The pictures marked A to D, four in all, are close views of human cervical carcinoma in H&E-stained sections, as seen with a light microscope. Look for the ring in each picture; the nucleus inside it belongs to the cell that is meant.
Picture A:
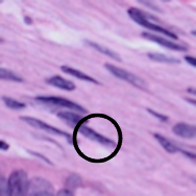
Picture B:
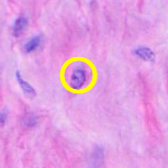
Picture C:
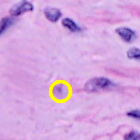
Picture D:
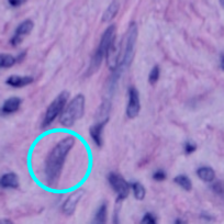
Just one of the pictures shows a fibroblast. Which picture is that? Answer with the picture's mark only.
A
